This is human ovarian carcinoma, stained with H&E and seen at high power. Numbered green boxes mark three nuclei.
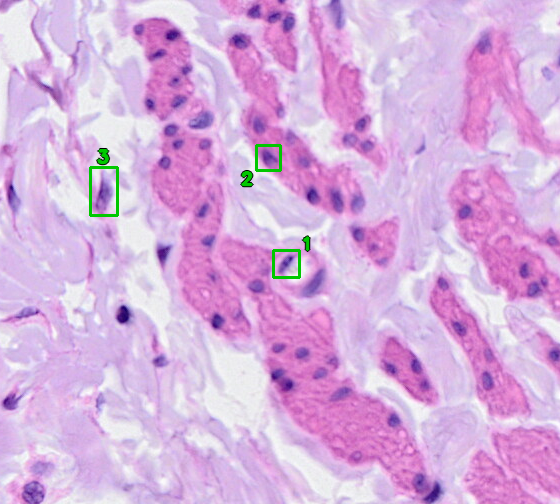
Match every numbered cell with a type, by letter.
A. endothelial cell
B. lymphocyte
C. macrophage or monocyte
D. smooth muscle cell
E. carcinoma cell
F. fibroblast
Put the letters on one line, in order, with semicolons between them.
A; D; F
